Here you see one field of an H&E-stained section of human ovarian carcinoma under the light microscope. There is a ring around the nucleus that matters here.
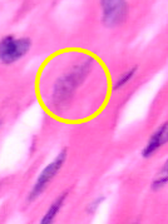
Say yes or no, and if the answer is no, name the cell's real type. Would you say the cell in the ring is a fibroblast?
Yes.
